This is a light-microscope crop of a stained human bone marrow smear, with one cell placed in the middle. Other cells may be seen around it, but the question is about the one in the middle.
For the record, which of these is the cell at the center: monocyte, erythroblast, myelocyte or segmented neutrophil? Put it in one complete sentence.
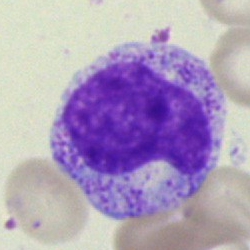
The cell of interest, in the center, is a myelocyte.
